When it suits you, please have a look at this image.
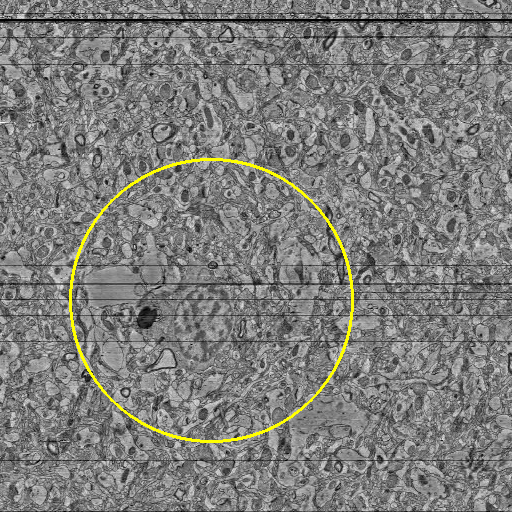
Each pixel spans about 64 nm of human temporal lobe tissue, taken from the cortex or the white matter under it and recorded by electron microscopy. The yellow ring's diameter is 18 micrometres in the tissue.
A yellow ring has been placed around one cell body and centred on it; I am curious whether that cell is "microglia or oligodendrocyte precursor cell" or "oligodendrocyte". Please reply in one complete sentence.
The ringed cell, an oligodendrocyte, has its body at the centre of the yellow ring.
